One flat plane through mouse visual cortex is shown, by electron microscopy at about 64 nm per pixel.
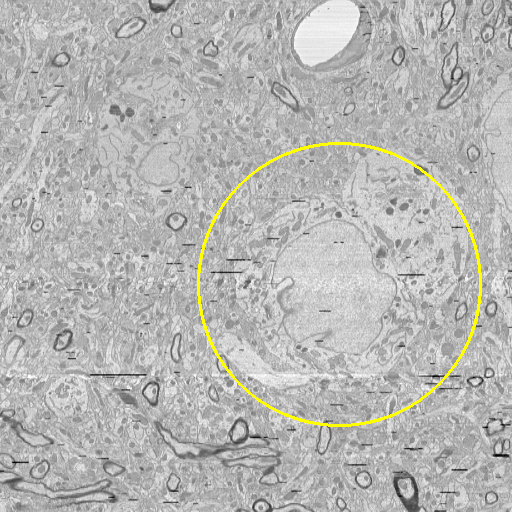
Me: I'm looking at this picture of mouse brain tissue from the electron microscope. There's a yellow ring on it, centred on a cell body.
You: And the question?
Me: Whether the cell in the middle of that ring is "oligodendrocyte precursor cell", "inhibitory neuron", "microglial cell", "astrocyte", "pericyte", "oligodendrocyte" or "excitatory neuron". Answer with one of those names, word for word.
inhibitory neuron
